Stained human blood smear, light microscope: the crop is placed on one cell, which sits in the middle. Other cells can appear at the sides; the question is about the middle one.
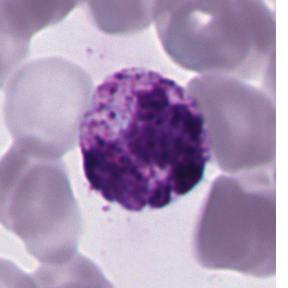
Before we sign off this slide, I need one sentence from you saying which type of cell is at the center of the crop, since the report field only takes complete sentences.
For this crop, the cell in the middle is a basophil.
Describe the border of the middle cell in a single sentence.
The edge is uneven, and this unevenness takes the form of ragged stretches or projections.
